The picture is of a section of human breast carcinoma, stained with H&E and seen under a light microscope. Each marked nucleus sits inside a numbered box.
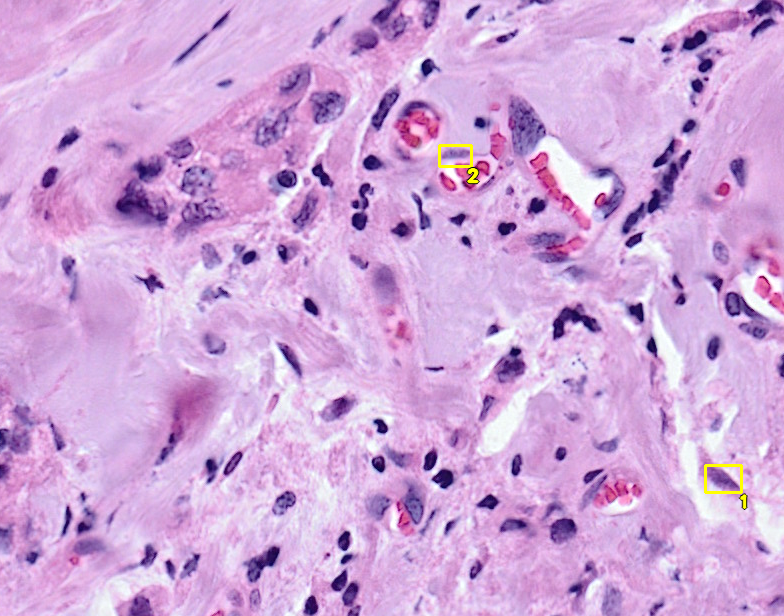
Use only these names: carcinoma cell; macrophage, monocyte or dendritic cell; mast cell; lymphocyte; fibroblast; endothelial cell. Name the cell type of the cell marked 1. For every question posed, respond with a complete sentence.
The cell numbered 1 represents a fibroblast.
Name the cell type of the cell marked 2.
The cell with the number 2 is an endothelial cell.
